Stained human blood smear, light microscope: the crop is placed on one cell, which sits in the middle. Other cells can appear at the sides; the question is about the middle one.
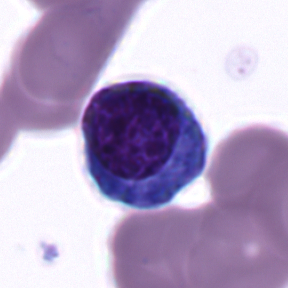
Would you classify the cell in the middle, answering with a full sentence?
The centrally positioned cell in the crop represents a plasma cell.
